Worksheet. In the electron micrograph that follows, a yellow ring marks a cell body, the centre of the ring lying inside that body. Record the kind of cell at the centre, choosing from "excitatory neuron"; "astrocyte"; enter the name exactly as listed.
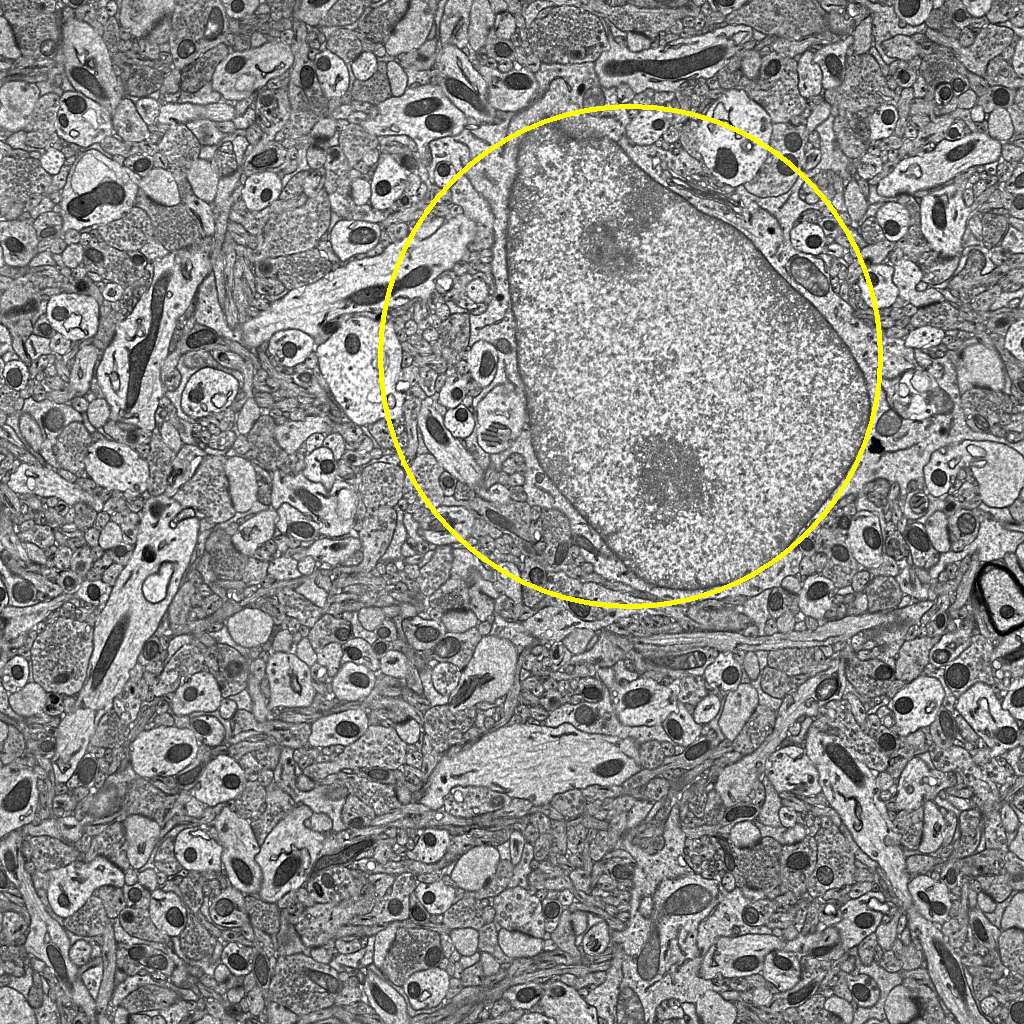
astrocyte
